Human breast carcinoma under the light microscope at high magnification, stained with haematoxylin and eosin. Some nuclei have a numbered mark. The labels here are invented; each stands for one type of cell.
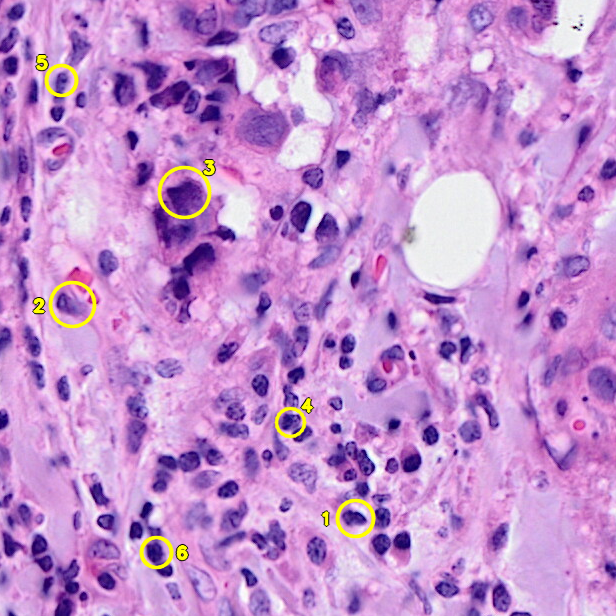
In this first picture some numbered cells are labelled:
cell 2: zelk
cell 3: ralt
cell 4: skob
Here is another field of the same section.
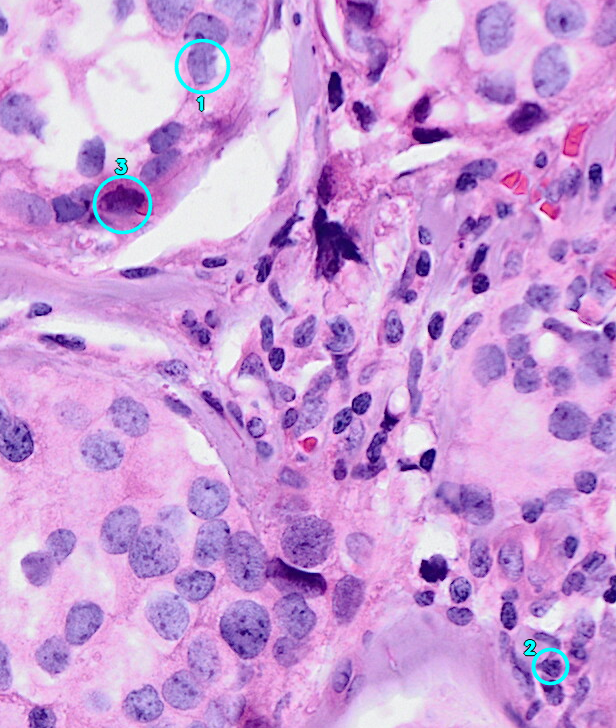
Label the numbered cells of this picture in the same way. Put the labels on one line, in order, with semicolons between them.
ralt; skob; ralt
